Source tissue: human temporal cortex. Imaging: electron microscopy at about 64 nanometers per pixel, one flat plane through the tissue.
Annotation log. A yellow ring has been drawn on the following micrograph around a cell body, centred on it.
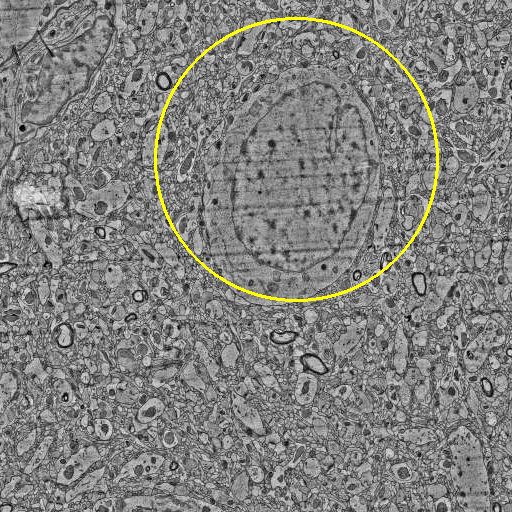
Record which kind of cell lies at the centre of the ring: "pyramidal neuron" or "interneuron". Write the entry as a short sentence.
The cell the ring is centred on is an interneuron.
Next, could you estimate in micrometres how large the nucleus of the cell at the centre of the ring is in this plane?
Roughly 12 micrometres by 9 micrometres, in this plane.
